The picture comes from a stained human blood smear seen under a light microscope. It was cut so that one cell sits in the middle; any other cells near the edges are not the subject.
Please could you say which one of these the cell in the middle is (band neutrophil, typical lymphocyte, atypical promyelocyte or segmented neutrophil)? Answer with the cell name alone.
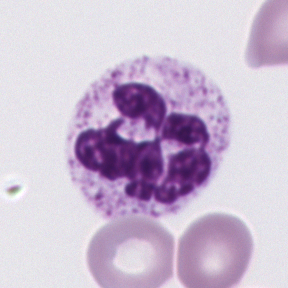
segmented neutrophil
